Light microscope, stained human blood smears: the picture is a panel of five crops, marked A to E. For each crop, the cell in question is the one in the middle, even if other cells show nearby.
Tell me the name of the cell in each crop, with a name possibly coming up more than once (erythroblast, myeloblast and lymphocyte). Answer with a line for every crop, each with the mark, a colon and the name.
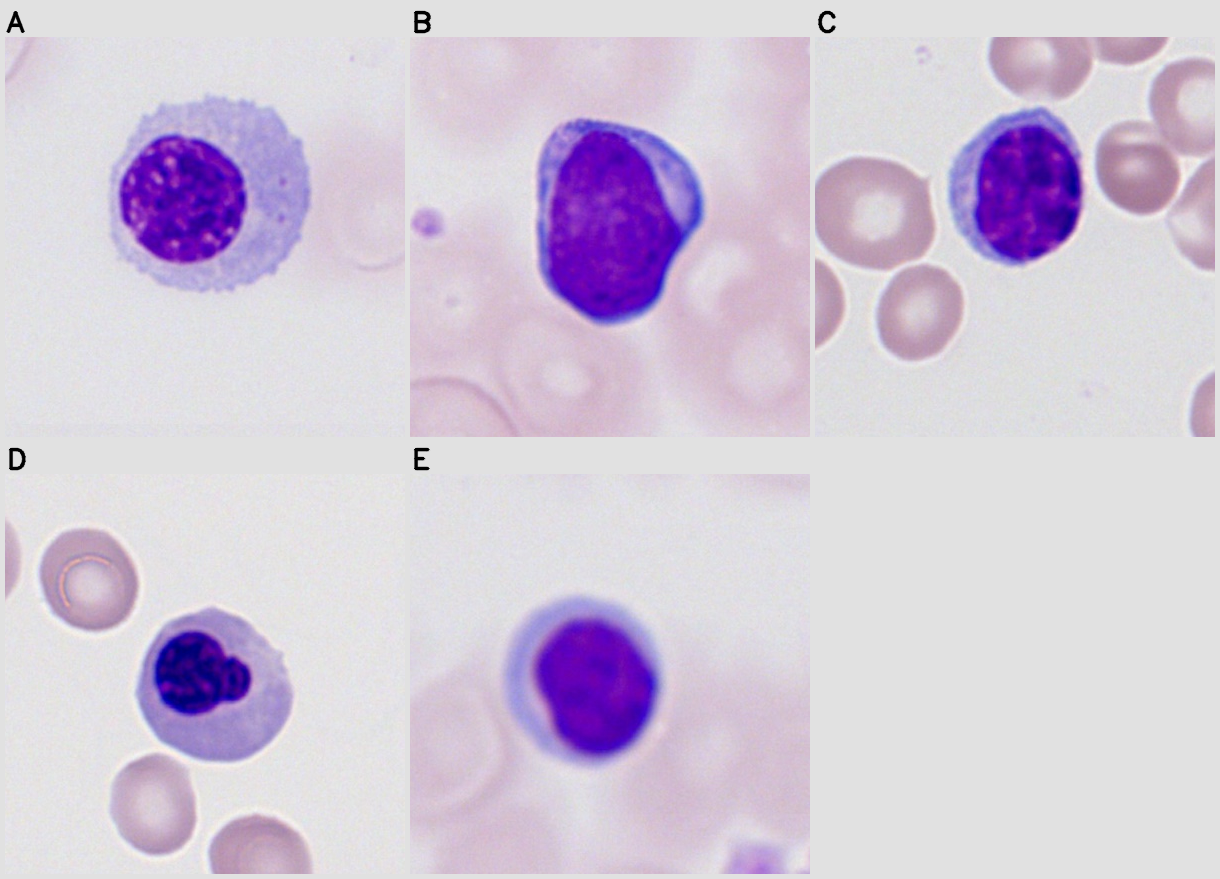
A: erythroblast
B: myeloblast
C: lymphocyte
D: erythroblast
E: lymphocyte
